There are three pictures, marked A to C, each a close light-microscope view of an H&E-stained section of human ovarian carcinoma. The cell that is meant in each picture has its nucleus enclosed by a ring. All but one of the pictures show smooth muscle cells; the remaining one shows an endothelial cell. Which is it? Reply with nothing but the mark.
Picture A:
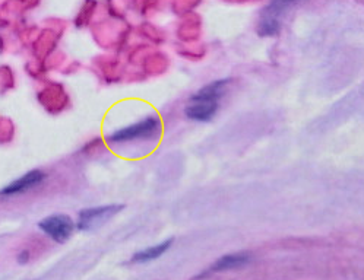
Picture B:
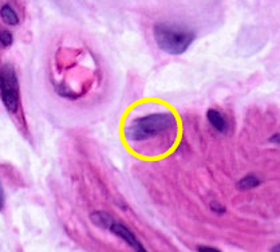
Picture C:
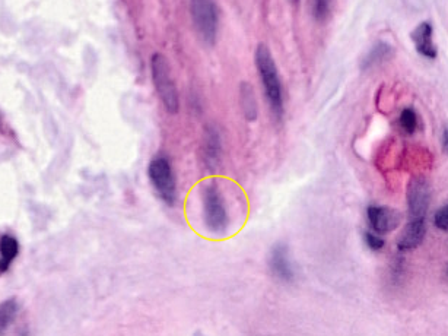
A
